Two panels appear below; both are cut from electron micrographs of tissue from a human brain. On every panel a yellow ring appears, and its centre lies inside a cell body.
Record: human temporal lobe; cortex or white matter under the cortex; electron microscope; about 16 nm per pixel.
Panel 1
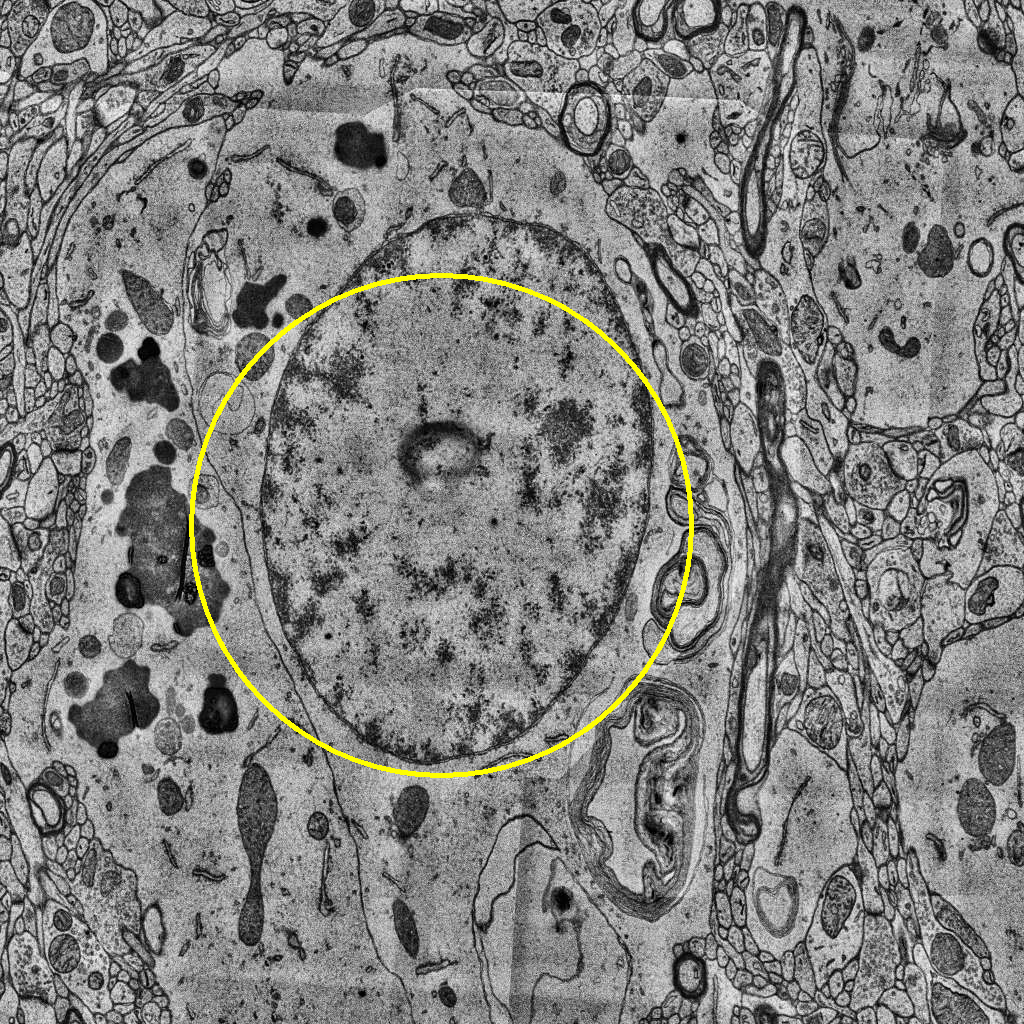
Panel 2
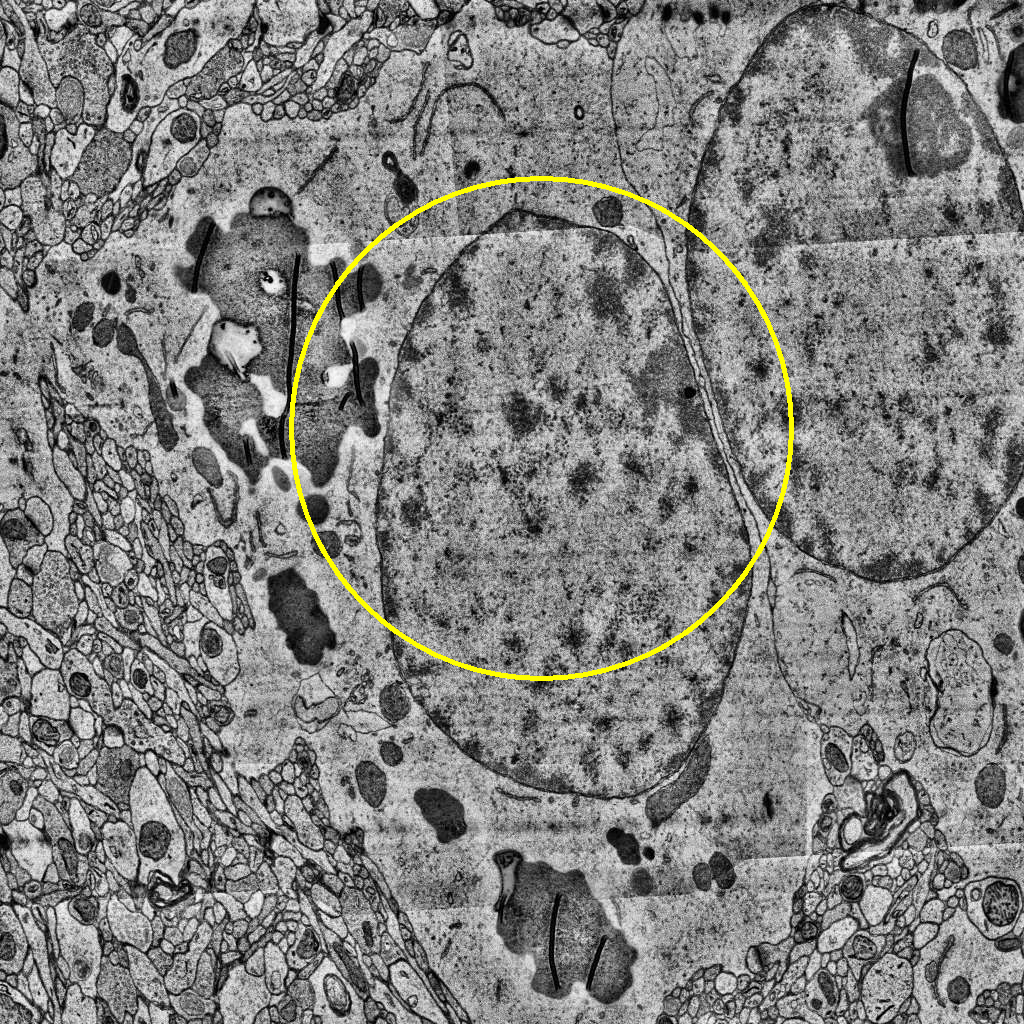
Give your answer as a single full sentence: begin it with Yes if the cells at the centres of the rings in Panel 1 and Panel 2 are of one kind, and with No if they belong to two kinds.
Yes, the cells at the middle of the rings in Panels 1 and 2 are of one kind.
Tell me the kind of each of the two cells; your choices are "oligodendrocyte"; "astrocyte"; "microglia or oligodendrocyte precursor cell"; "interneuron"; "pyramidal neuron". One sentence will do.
The first and the second cell are each an astrocyte.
